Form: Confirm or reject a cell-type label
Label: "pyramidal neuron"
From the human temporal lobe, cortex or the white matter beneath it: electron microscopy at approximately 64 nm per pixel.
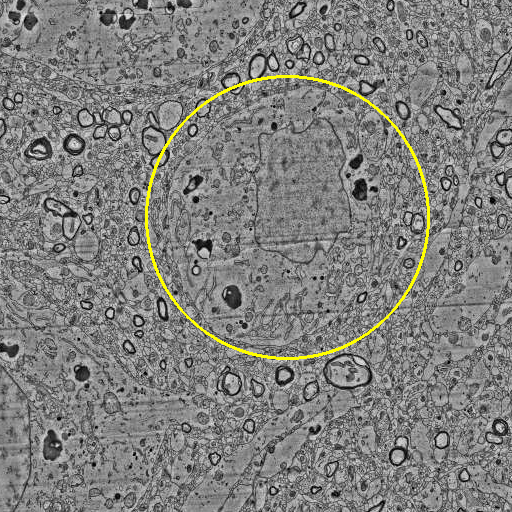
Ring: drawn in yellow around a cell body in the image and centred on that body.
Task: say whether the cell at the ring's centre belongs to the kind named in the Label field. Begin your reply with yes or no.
Yes, it belongs to that kind.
